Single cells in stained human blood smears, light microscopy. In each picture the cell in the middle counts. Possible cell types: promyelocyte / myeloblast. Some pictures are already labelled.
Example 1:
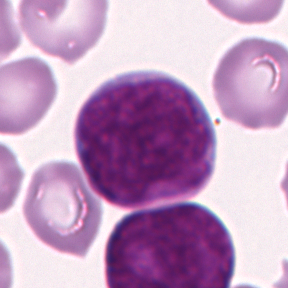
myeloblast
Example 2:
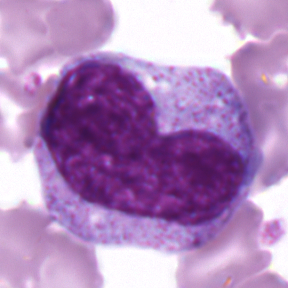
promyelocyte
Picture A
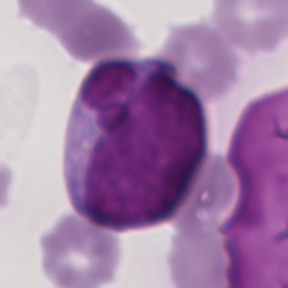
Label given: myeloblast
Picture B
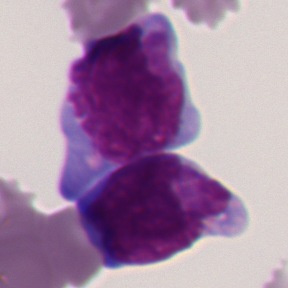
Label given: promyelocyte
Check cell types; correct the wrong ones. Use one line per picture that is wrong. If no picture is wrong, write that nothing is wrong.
B is labelled promyelocyte; correct label: myeloblast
